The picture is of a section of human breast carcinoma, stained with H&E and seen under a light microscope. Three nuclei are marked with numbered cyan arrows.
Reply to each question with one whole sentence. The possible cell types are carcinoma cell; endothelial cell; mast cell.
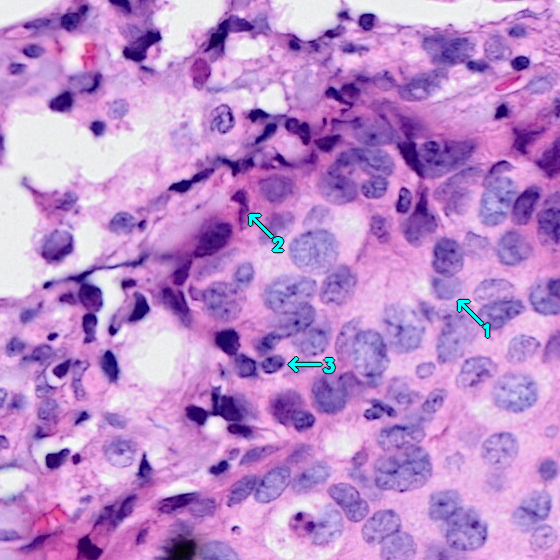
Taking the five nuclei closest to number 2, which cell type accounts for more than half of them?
Of the five nuclei nearest to number 2, most belong to carcinoma cells.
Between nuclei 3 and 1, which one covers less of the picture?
Nucleus 3 is the smaller one; nucleus 1 covers about 2 times its area.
